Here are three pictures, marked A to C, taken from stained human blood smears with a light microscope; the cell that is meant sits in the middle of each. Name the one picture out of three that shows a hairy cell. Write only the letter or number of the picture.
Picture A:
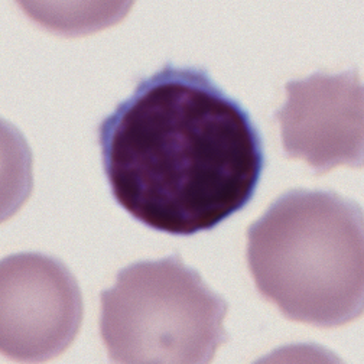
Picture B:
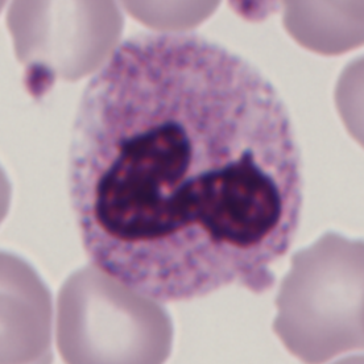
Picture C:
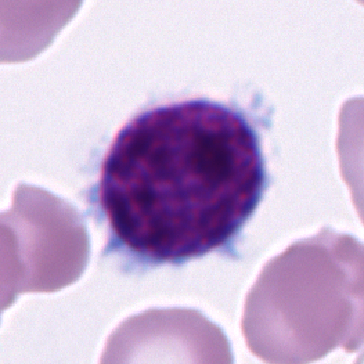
C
